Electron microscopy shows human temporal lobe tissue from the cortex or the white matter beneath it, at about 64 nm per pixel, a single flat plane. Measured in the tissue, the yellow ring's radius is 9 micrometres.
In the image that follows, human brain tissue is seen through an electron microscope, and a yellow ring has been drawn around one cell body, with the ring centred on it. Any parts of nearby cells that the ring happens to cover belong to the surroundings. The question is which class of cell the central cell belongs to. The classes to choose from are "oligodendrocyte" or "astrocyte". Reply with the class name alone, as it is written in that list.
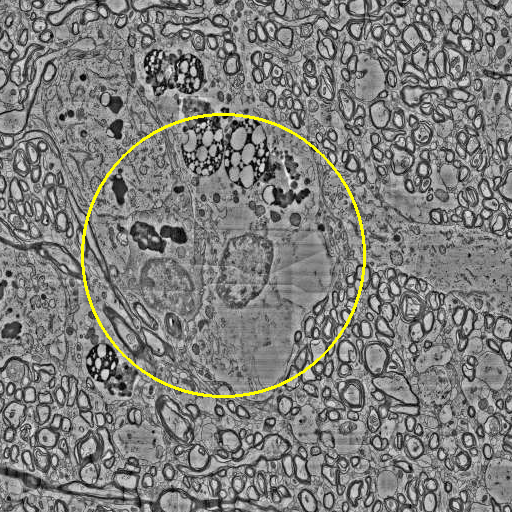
astrocyte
